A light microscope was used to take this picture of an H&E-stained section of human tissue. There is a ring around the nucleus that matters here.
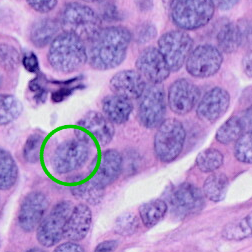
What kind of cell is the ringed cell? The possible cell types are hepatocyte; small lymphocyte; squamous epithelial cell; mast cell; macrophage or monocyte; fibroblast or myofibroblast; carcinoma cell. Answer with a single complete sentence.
As classified here, the ringed cell is a carcinoma cell.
